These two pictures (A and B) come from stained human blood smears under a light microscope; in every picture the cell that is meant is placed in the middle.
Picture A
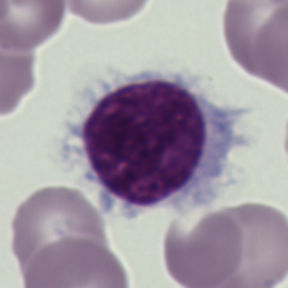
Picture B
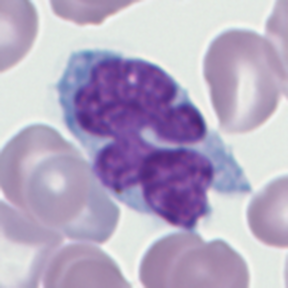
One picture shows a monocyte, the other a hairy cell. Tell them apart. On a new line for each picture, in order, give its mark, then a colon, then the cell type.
A: hairy cell
B: monocyte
